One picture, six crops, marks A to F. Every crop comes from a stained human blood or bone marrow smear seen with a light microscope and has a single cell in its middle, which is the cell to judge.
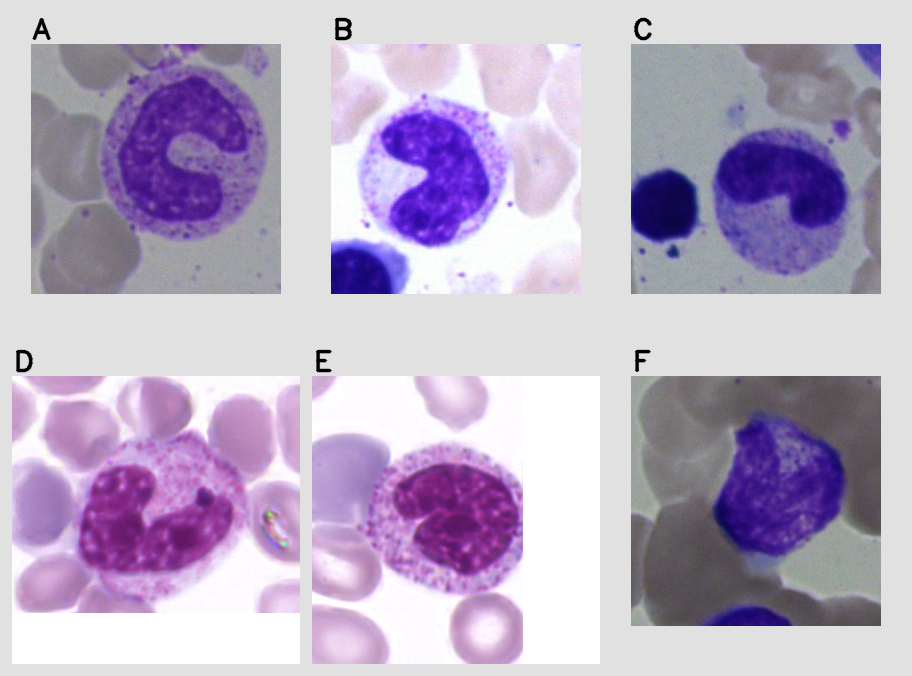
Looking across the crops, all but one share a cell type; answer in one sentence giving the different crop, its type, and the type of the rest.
Of these crops, only crop F is a metamyelocyte; the others are band neutrophils.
